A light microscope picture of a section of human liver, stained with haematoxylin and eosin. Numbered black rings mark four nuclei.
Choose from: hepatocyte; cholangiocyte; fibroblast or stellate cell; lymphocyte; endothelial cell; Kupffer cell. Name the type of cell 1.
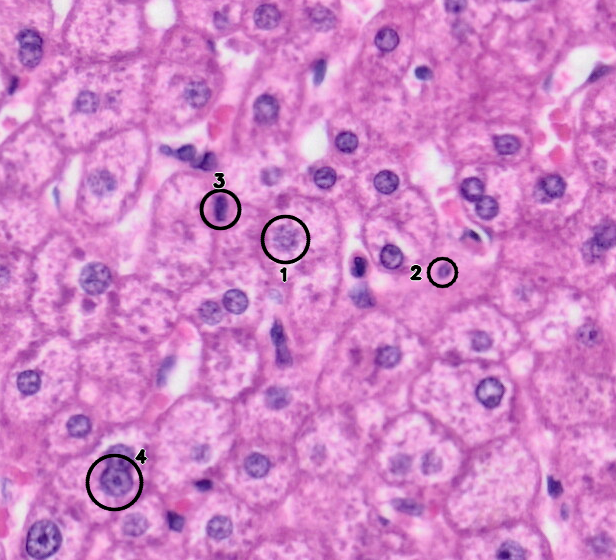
hepatocyte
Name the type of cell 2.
lymphocyte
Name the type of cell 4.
hepatocyte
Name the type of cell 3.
fibroblast or stellate cell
